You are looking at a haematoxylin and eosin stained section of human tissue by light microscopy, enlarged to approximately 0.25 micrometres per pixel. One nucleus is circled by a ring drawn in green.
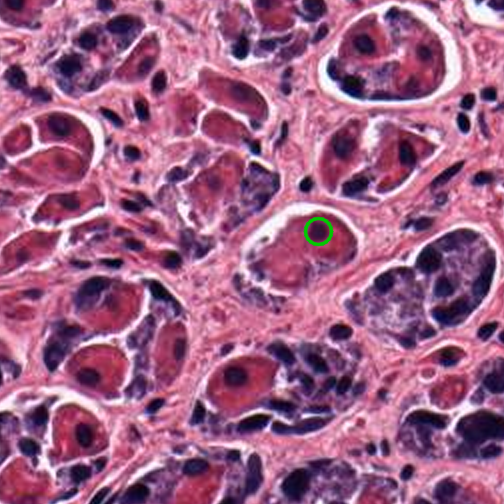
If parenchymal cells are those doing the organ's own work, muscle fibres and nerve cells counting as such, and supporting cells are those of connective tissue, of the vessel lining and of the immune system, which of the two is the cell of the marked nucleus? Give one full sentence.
The marked nucleus is owned by a parenchymal cell, in this case a parietal cell.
